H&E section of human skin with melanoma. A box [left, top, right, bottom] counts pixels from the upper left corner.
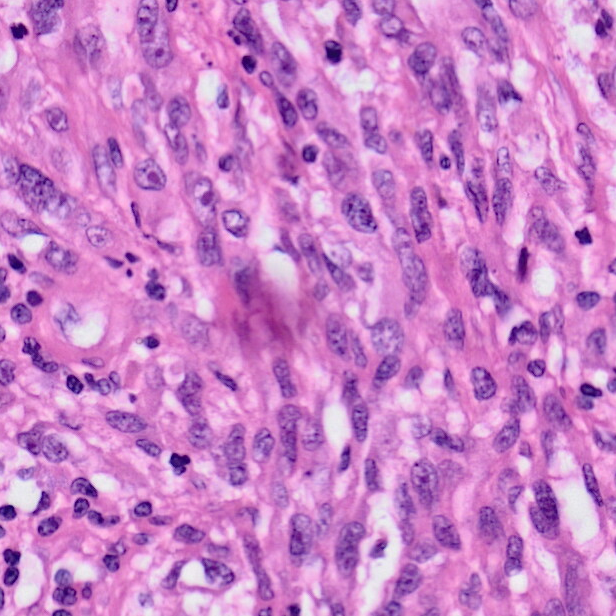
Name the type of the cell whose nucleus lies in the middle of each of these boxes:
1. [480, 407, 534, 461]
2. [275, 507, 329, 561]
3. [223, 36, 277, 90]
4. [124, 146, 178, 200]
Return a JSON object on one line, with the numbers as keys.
{"1": "melanoma cell", "2": "melanoma cell", "3": "lymphocyte", "4": "melanoma cell"}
